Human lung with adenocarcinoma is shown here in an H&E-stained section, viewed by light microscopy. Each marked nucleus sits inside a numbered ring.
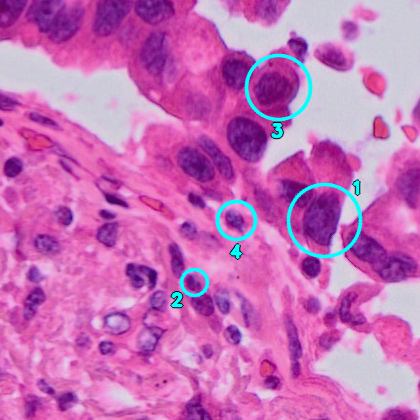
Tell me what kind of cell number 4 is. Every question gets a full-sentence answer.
The cell pointed out as number 4 is a lymphocyte.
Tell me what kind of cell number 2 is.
The cell identified by the number 2 is a plasma cell.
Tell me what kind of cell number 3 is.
Numbered cell 3 is a carcinoma cell in this tissue section.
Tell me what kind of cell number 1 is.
Identified by the number 1, the cell is a carcinoma cell.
